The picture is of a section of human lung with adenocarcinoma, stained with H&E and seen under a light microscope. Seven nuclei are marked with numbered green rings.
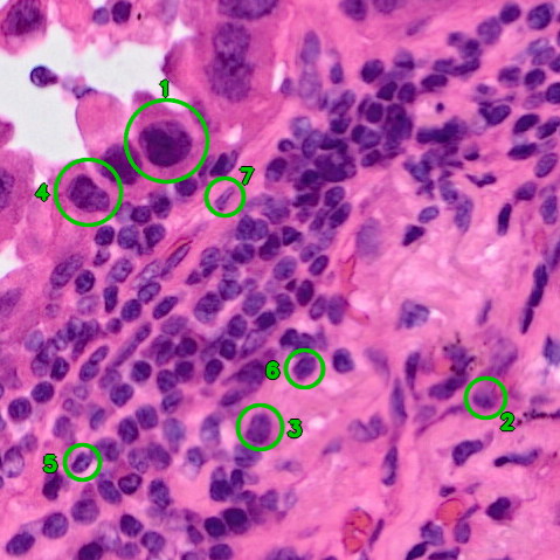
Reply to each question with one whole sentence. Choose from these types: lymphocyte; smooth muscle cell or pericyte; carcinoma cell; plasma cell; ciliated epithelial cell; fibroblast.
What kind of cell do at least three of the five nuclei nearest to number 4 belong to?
Of the five nuclei nearest to number 4, most belong to lymphocytes.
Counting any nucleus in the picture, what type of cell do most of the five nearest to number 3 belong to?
The majority of the five nuclei closest to number 3 belong to lymphocytes.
